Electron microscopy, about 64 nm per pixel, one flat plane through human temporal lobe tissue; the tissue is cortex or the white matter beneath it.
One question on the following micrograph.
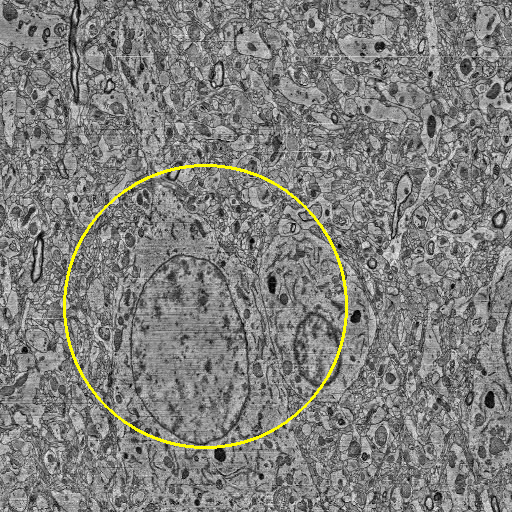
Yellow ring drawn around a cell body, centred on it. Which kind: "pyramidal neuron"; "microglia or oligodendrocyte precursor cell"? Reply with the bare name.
pyramidal neuron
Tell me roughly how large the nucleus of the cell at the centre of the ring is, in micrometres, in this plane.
About 13 by 8 micrometers in this plane, so the nucleus is clearly longer than it is wide.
